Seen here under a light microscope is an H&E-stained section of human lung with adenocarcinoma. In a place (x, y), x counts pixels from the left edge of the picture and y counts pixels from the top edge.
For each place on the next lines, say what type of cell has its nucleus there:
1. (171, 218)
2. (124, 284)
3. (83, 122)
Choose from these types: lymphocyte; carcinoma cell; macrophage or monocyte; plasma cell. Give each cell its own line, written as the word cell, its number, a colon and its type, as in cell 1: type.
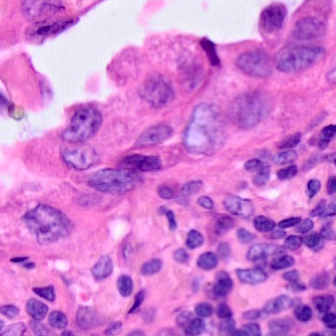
cell 1: lymphocyte
cell 2: lymphocyte
cell 3: carcinoma cell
